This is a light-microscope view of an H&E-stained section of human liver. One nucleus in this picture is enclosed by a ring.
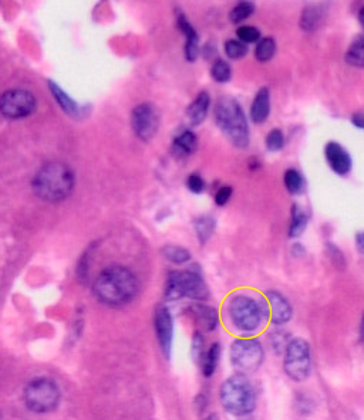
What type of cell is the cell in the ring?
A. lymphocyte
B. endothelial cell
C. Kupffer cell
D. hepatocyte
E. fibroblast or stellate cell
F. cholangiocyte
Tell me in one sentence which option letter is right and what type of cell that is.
In this section the cell in the ring is a cholangiocyte; option F is therefore correct.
